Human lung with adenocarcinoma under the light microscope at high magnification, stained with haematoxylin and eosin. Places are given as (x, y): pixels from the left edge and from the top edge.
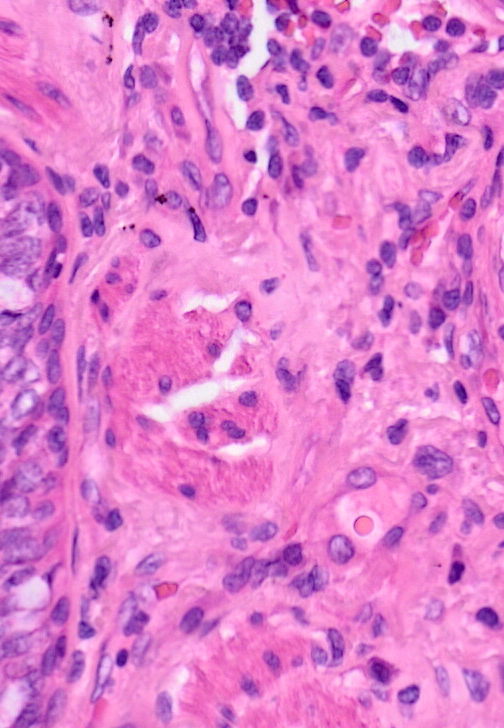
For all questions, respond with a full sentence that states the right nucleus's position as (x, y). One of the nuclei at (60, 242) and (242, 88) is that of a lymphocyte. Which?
The nucleus lying at (242, 88) is the nucleus of a lymphocyte.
